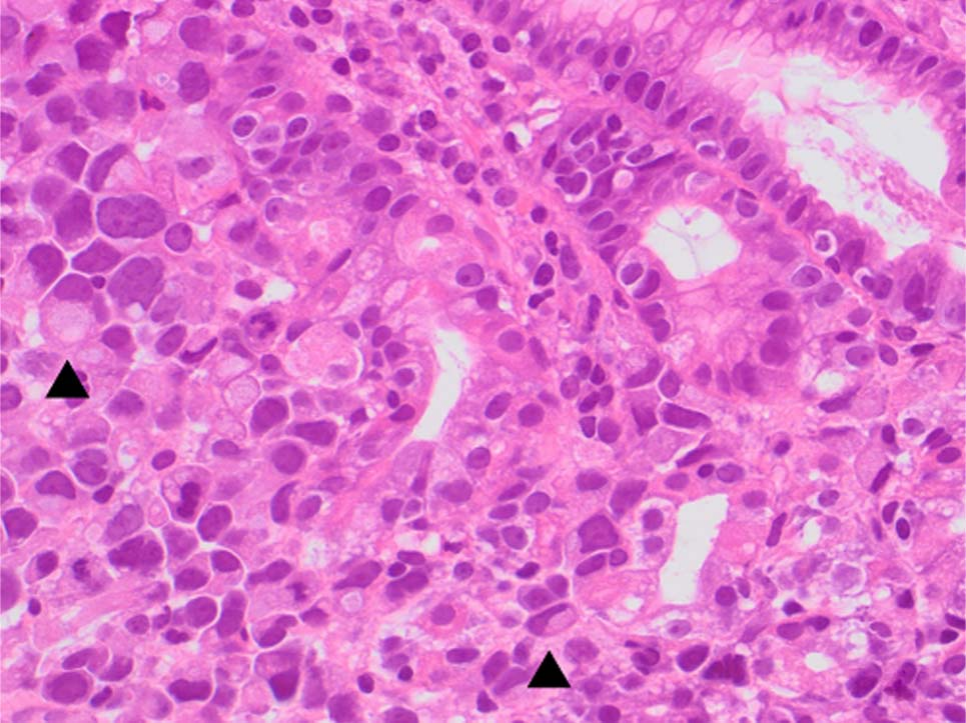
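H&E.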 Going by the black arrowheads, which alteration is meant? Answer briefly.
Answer: Signet-ring morphology.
